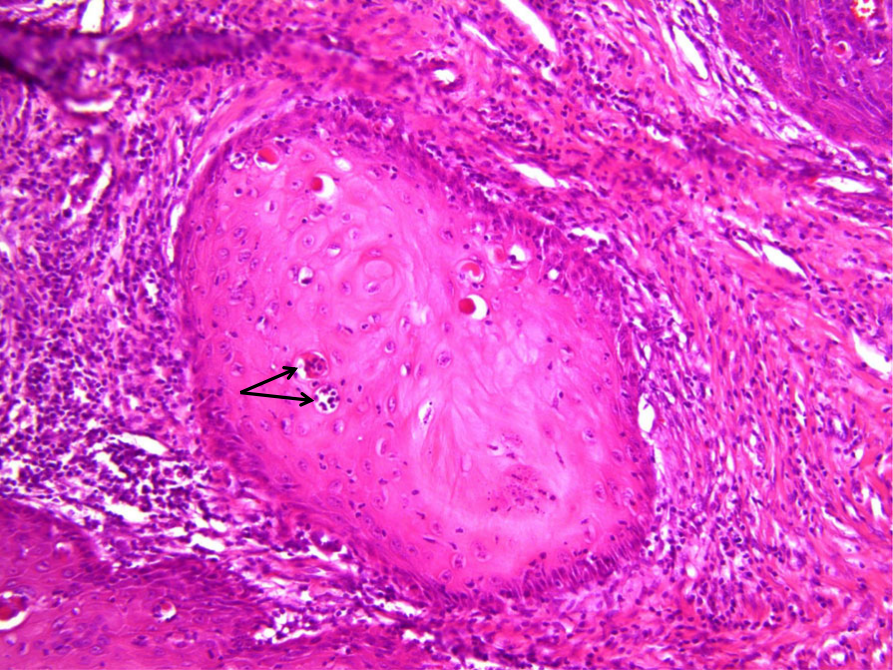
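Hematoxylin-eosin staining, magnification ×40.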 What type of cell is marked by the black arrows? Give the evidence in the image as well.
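The arrows point to small cells with dark, lobed nuclei lying inside the pink epithelial nest. These small cells sit in small clear round spaces among much larger pale pink cells.
Conclusion: neutrophils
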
